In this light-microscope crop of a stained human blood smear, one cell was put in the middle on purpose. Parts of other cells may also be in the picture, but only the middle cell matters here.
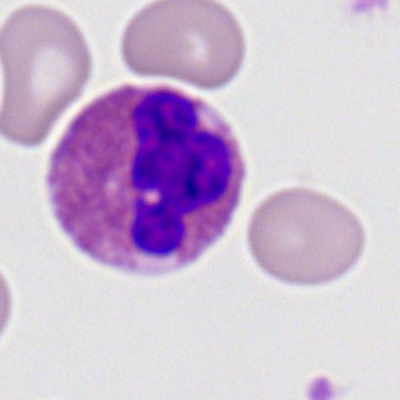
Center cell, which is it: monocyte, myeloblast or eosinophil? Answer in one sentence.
The cell at the middle of the crop is recognized as an eosinophil.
